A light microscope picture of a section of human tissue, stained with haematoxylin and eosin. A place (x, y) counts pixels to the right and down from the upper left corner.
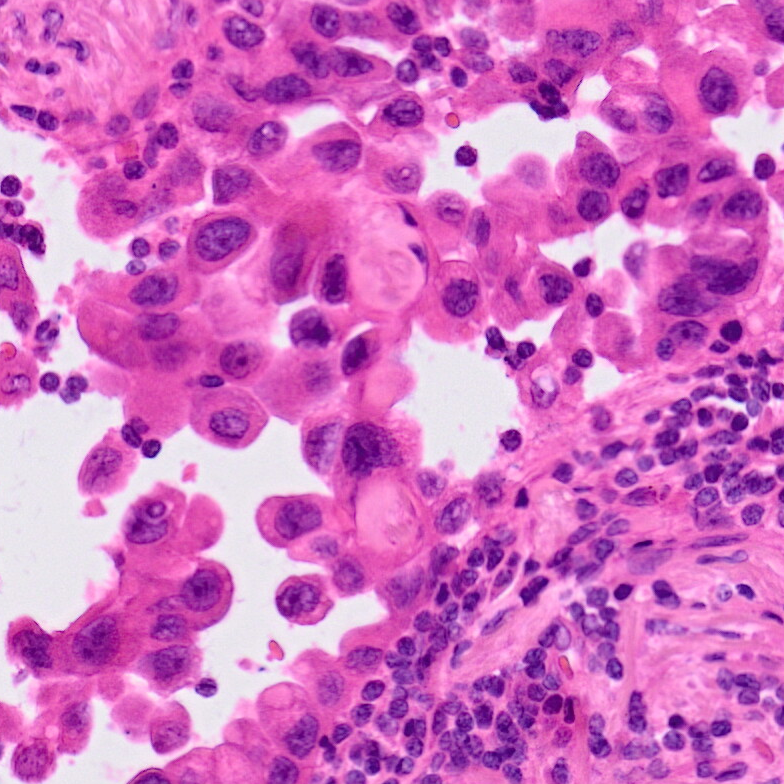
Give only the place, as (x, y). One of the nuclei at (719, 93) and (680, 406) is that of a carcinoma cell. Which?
(719, 93)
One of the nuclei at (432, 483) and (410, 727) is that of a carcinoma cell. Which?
(432, 483)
